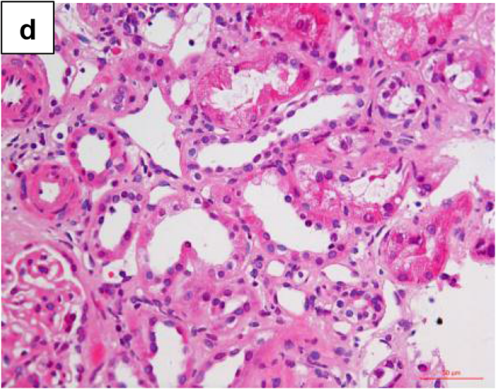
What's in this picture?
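Renal cortical tubules cut in cross and oblique section. Many tubules are dilated with flattened epithelium and wide open lumina; others are lined by cuboidal cells with round dark nuclei and pink cytoplasm. The interstitium between tubules is mildly widened with scattered cells. A small arteriole with a thick pink wall lies at left. Some epithelial cells appear detached or vacuolated.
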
